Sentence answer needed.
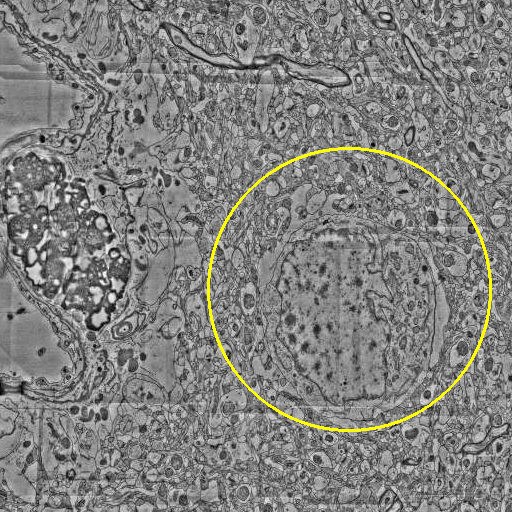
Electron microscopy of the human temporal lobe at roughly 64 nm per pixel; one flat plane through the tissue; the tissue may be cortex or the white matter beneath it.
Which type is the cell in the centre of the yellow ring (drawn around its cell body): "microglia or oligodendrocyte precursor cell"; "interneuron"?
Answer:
In the centre of the yellow ring is an interneuron.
